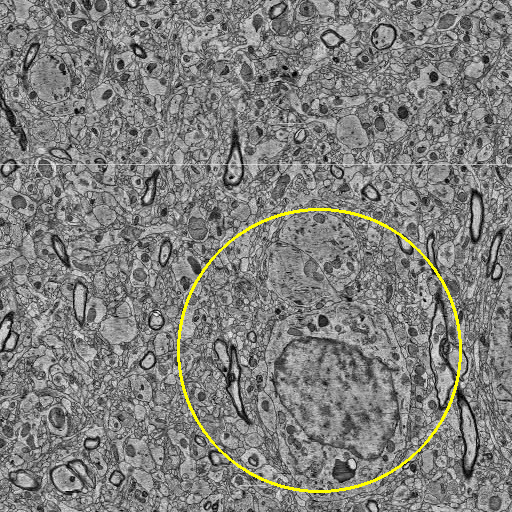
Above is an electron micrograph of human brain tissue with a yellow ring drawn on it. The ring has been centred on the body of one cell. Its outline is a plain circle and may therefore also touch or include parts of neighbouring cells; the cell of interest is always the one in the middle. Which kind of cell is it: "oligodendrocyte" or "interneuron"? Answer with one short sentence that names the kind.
The ring's central cell body is that of an interneuron.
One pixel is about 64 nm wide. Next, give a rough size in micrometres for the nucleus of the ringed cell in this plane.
In this plane the nucleus spans approximately 9 by 7 micrometers.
